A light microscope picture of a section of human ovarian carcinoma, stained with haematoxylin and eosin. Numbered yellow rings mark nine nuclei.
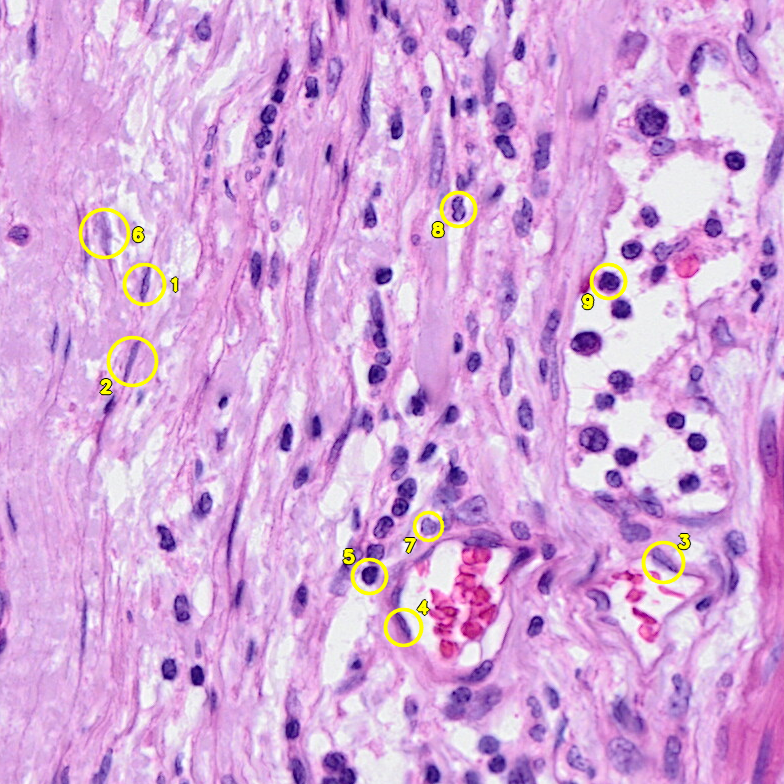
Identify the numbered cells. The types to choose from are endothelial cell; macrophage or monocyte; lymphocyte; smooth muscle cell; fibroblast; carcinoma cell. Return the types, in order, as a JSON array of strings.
["fibroblast", "fibroblast", "endothelial cell", "endothelial cell", "lymphocyte", "fibroblast", "macrophage or monocyte", "lymphocyte", "lymphocyte"]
